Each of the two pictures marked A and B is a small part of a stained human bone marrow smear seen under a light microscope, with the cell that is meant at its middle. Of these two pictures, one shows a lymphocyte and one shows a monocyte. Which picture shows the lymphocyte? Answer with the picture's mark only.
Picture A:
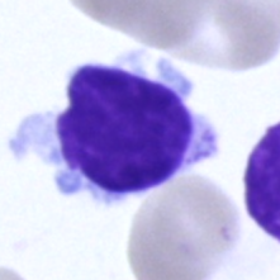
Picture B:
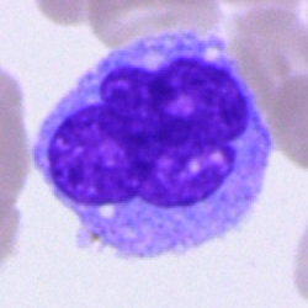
A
